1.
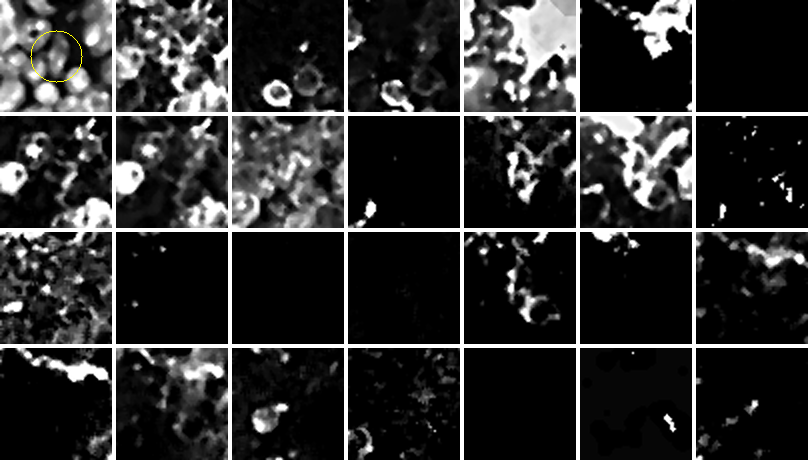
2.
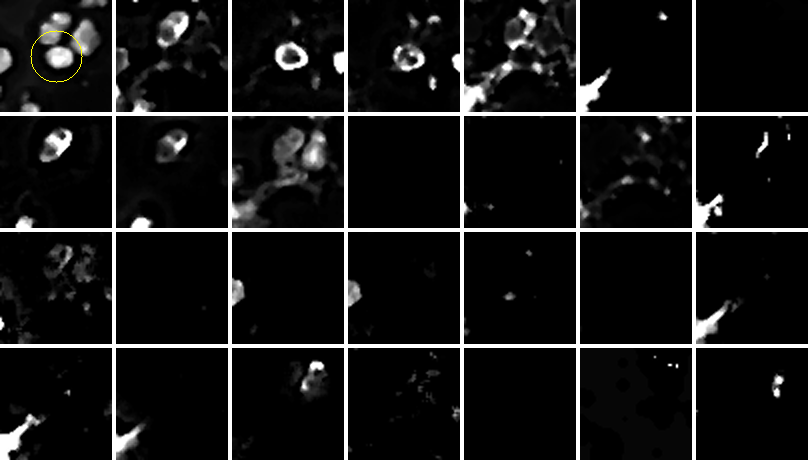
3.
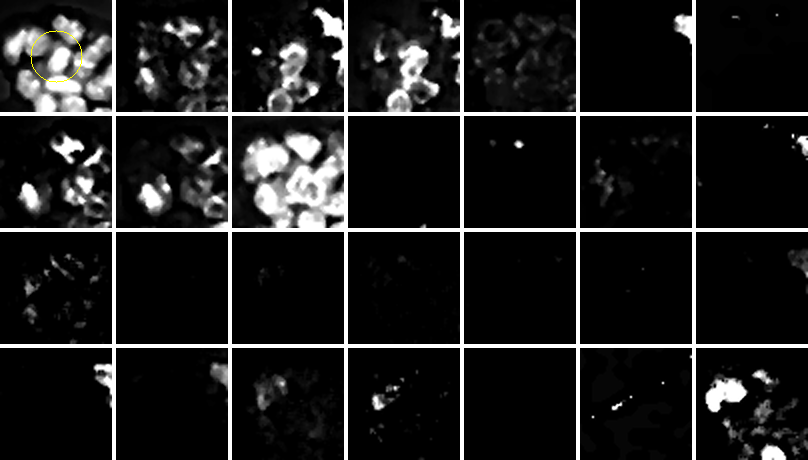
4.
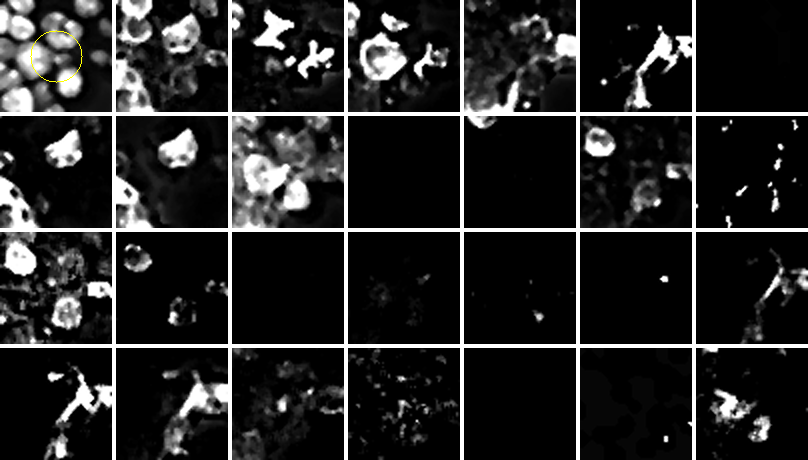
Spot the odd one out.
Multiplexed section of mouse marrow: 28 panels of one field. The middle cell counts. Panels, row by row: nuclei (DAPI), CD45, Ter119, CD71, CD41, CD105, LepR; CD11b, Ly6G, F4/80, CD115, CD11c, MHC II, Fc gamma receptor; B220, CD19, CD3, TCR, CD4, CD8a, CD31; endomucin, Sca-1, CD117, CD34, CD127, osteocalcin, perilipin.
Picture 1 (a conventional dendritic cell among erythroblasts).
